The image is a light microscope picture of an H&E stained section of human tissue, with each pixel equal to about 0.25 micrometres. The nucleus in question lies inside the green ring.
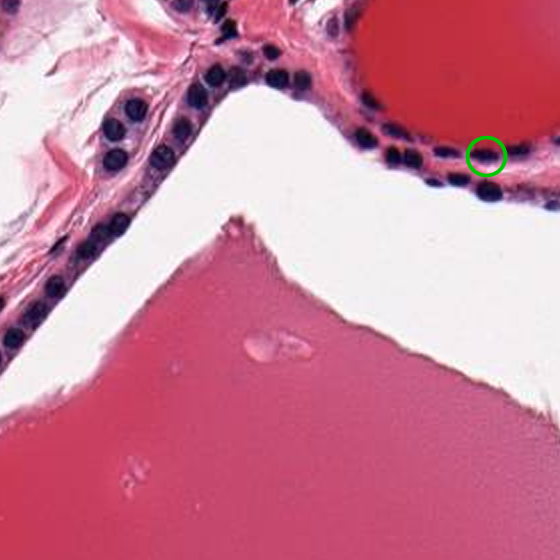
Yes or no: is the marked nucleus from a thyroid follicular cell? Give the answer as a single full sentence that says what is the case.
Yes, within this field the marked nucleus is that of a thyroid follicular cell.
